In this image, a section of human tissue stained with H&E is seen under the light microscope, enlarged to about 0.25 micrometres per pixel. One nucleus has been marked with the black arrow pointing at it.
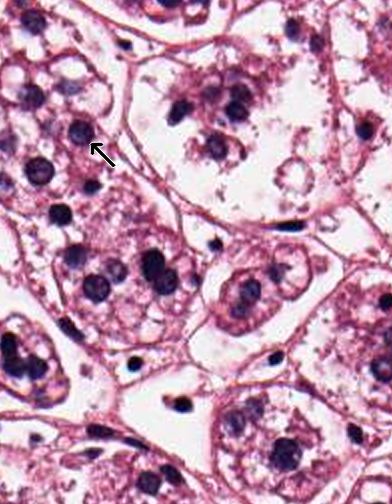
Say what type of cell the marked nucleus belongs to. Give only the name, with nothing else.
adrenal cortical cell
